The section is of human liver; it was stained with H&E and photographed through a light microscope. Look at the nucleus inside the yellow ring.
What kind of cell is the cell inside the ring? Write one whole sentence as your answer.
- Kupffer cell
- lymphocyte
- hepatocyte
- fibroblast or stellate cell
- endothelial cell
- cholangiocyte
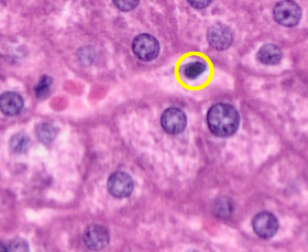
As a matter of cell type, the cell inside the ring is a lymphocyte.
